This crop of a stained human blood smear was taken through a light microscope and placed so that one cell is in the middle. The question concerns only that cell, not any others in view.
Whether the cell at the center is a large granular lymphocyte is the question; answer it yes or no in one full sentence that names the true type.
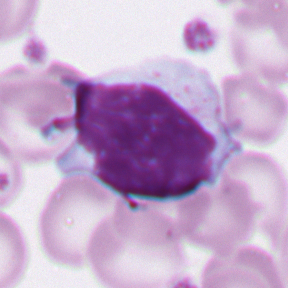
Yes, the identity of the central cell is that of a large granular lymphocyte.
